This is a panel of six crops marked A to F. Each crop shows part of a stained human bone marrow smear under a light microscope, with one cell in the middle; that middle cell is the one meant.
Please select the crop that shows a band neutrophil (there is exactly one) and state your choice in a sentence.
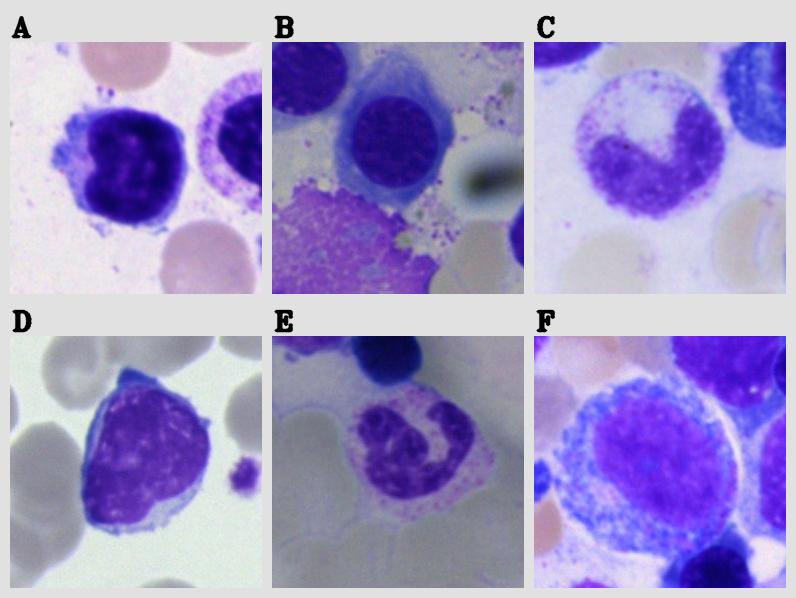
Crop C represents a band neutrophil, while the other crops do not.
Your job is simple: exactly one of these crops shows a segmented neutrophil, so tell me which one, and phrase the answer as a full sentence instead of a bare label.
Crop E is the crop featuring a segmented neutrophil at its center.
